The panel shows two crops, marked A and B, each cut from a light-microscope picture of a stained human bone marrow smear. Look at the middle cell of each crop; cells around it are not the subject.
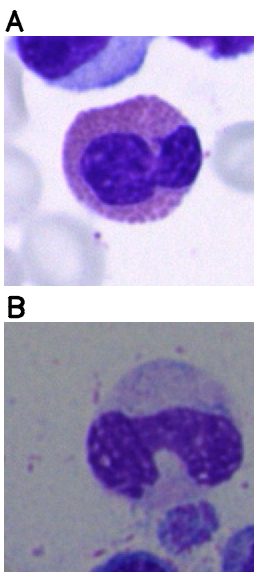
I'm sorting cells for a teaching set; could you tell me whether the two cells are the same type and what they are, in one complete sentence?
No, it is an eosinophil in crop A and a band neutrophil in crop B.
